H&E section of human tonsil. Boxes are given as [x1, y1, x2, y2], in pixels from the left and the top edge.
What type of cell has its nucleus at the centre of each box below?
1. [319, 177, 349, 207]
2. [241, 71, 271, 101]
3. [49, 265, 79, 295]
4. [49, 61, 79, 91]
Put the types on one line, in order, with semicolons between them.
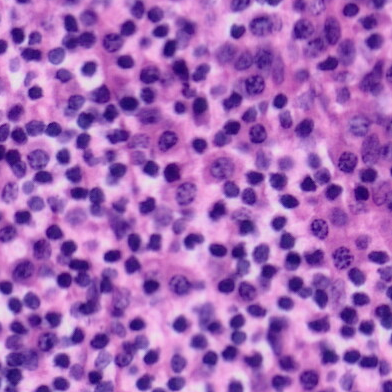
plasma cell; plasma cell; small lymphocyte; plasma cell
